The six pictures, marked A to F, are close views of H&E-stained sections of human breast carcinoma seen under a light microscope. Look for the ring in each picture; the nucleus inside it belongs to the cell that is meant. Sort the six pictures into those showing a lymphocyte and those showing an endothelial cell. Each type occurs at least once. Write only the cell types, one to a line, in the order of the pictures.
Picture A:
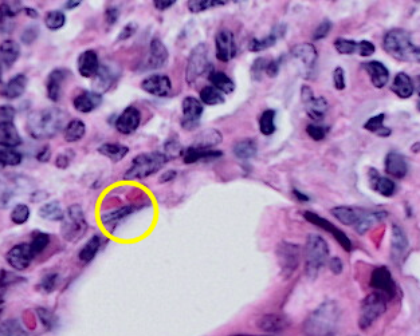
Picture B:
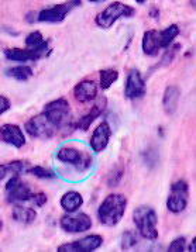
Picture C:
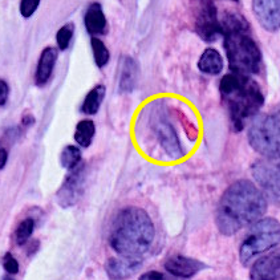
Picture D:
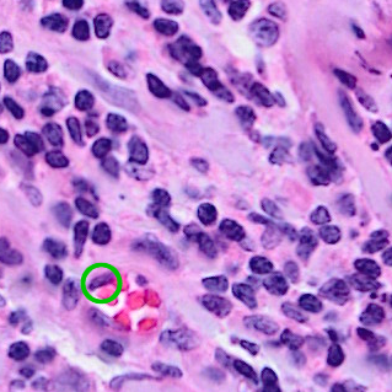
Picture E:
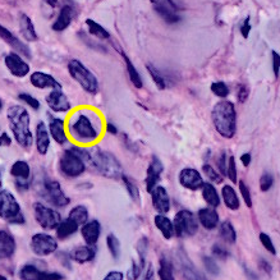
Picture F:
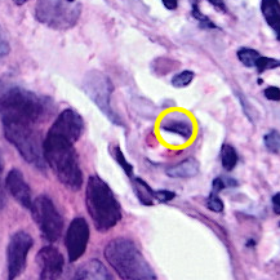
endothelial cell
lymphocyte
endothelial cell
endothelial cell
lymphocyte
endothelial cell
